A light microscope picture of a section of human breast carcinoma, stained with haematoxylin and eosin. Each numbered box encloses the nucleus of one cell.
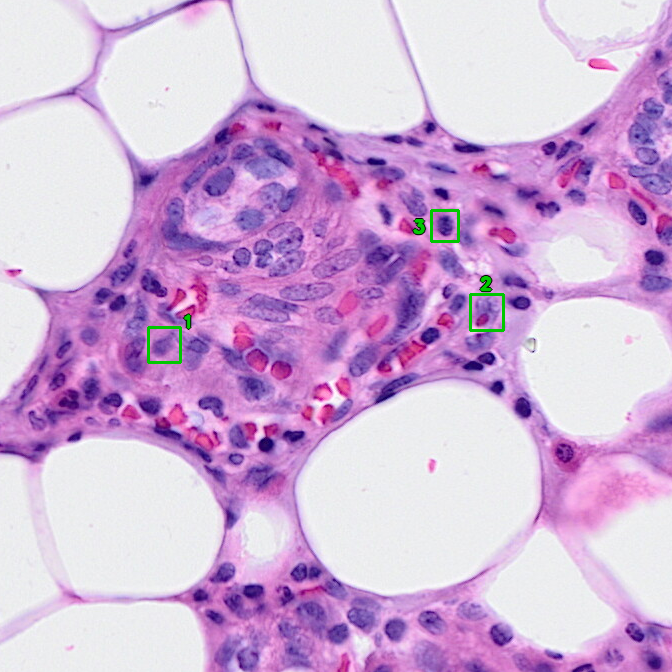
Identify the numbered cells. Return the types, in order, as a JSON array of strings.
["endothelial cell", "endothelial cell", "mast cell"]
